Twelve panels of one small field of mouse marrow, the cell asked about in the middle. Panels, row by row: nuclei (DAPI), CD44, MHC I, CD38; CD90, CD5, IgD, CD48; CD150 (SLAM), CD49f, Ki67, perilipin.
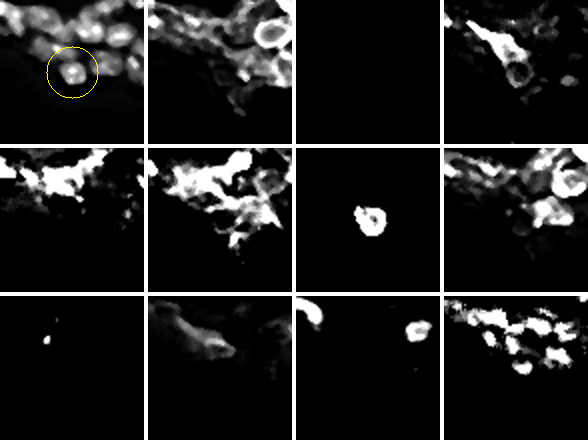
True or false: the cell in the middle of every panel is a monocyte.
False; it is a B cell.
